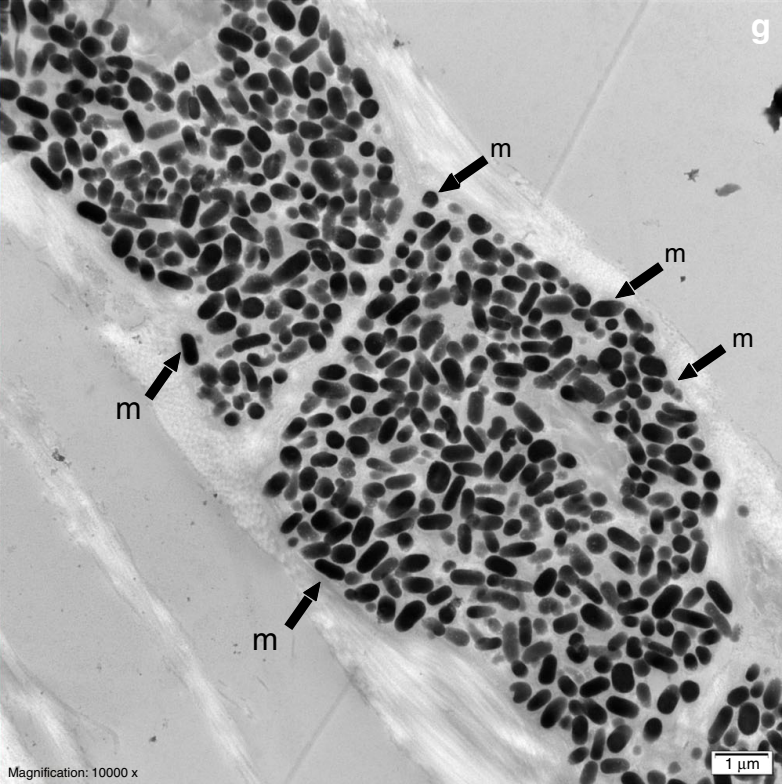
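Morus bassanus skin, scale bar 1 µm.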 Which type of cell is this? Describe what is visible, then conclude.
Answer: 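A large cell profile filled with densely packed electron-dense oval granules. The granule-filled profile lies among paler fibrous tissue. On this evidence: melanophore.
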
